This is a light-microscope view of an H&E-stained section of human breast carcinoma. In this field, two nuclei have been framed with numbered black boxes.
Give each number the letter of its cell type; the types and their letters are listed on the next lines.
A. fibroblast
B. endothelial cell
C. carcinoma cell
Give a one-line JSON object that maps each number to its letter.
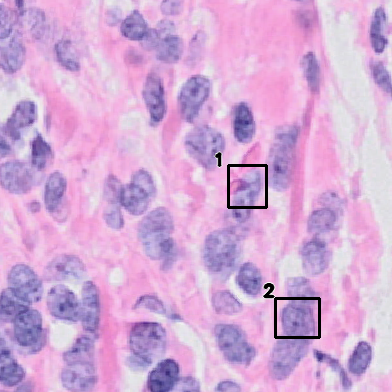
{"1": "B", "2": "C"}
